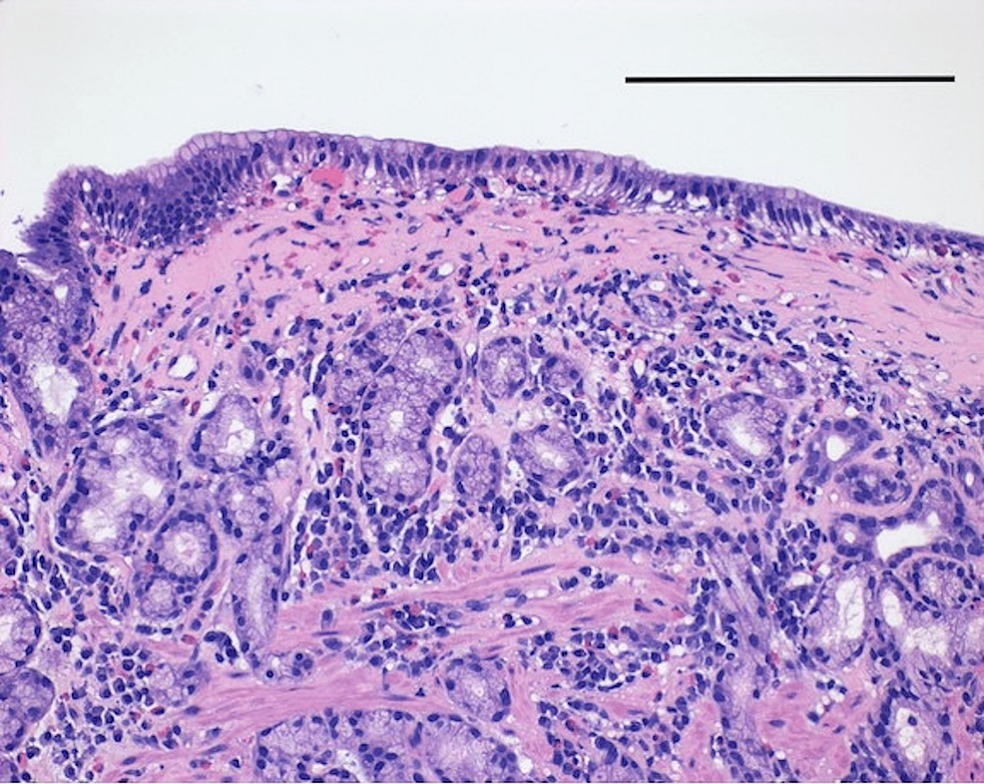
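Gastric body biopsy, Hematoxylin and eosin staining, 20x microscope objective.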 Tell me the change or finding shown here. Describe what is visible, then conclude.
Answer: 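The band separates the surface epithelium from the deeper glands.
Conclusion: thick band of collagen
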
